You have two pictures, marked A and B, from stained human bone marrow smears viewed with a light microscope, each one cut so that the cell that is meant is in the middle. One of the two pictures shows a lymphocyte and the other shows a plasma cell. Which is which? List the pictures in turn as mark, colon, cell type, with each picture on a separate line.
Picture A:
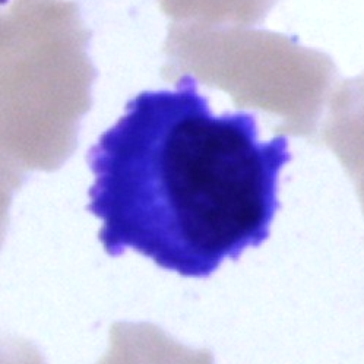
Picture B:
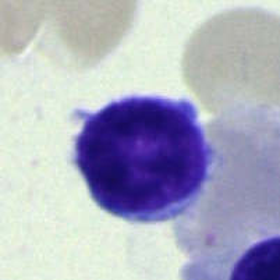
A: plasma cell
B: lymphocyte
